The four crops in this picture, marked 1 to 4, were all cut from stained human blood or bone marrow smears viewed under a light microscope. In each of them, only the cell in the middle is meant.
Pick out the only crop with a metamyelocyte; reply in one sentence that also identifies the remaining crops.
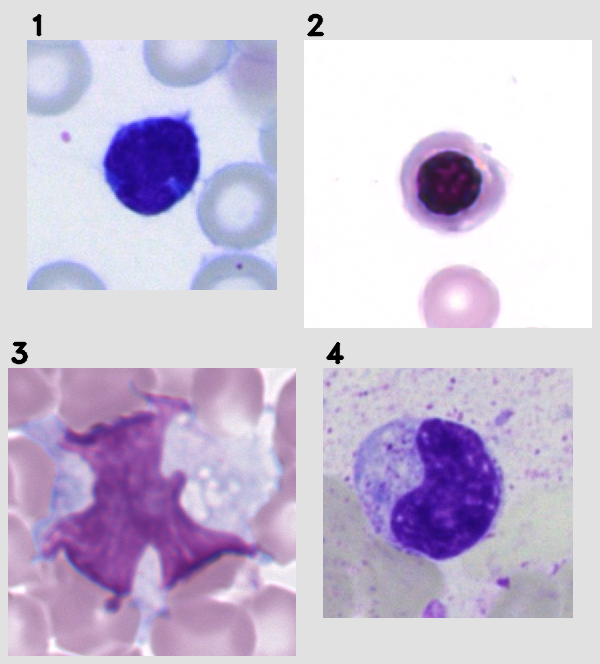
Inside crop 4 there is a metamyelocyte, while crop 1 is a lymphocyte, crop 2 is a normoblast and crop 3 is a monocyte.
